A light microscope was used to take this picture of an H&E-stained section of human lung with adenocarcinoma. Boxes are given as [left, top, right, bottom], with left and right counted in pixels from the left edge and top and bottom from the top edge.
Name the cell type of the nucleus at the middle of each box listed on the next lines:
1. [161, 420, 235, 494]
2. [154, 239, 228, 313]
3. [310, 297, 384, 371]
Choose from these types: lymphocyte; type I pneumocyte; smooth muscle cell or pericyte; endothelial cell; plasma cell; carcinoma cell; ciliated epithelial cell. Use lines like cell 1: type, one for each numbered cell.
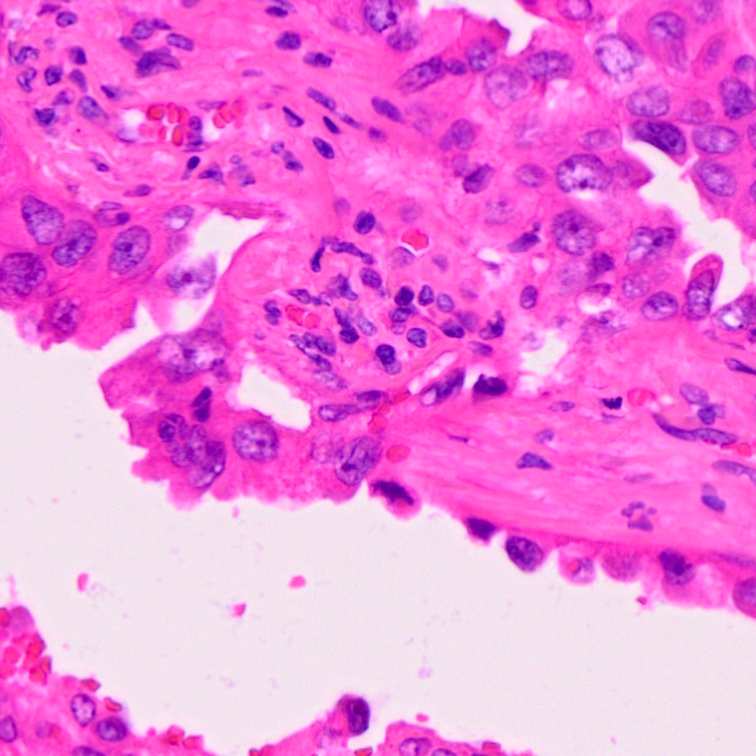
cell 1: carcinoma cell
cell 2: carcinoma cell
cell 3: lymphocyte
